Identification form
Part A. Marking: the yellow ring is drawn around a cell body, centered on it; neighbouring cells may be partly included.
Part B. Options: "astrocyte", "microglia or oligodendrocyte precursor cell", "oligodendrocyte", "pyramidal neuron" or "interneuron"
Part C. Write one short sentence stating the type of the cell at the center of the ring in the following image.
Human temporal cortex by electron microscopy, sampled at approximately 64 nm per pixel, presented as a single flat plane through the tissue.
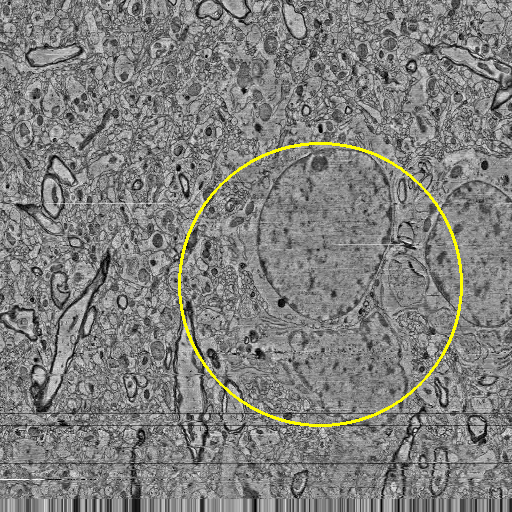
The center of the ring holds an astrocyte.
